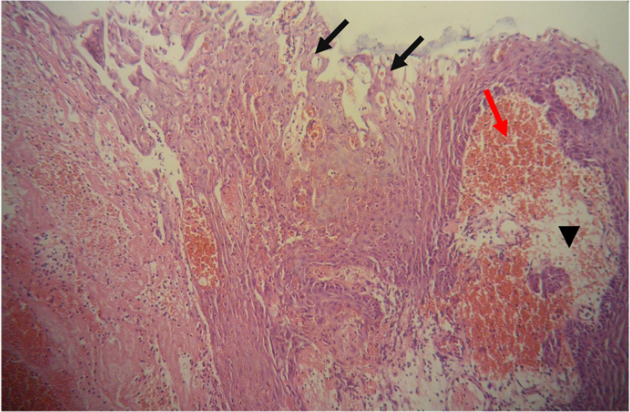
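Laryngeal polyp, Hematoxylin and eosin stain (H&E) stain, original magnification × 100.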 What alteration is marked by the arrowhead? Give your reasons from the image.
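Edema. The arrowhead marks a pale, loose, sparsely cellular area of stroma. Wide clear spaces separate the stromal elements there.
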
